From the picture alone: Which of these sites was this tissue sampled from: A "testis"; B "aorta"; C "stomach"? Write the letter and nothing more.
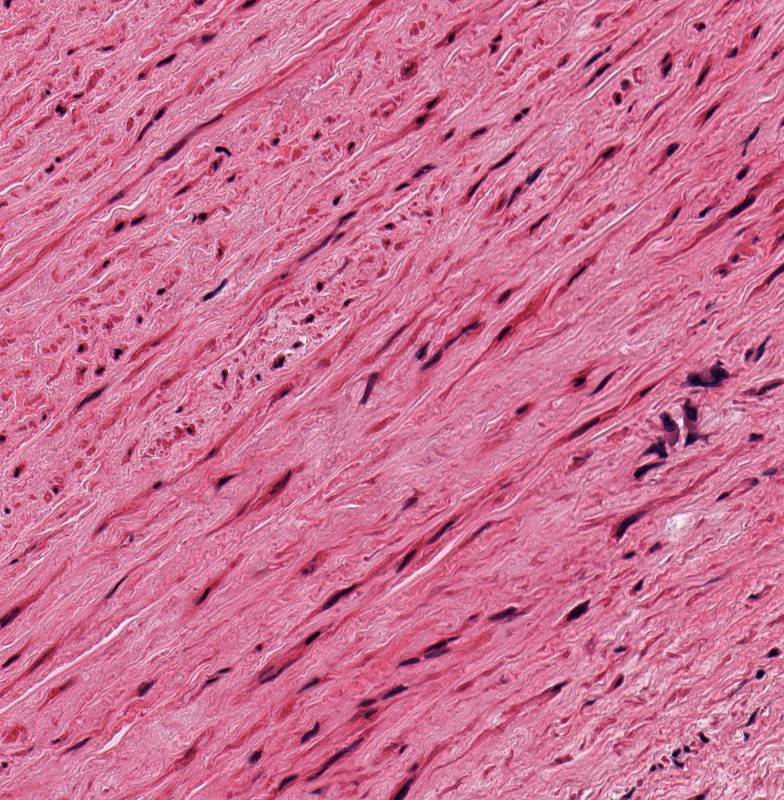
B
